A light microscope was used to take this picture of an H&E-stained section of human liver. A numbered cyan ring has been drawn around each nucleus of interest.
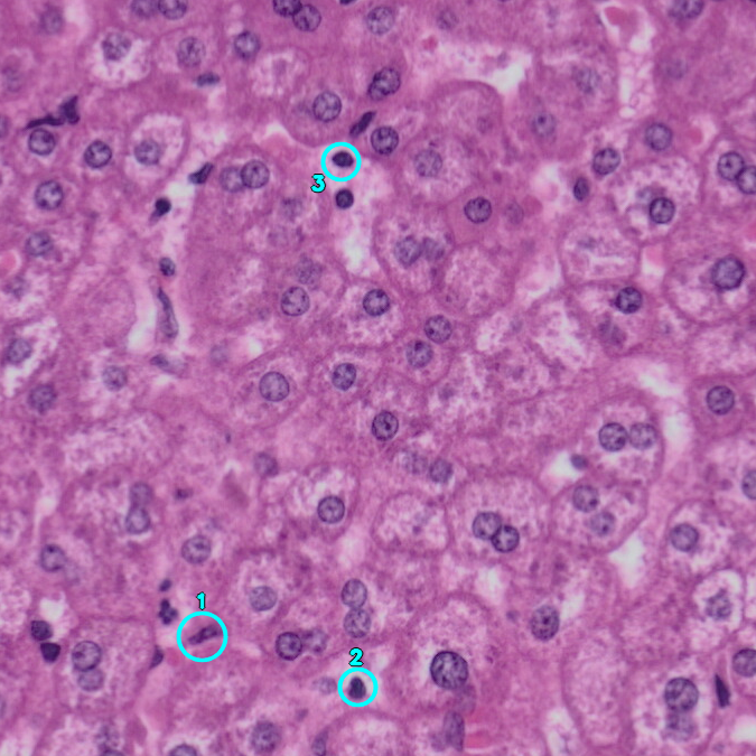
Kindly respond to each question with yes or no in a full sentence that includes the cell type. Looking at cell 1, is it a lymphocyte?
No; cell 1 is a Kupffer cell, not a lymphocyte.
